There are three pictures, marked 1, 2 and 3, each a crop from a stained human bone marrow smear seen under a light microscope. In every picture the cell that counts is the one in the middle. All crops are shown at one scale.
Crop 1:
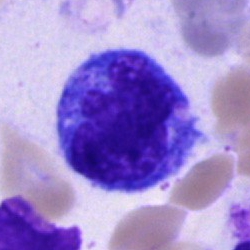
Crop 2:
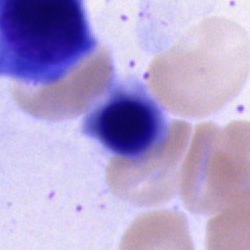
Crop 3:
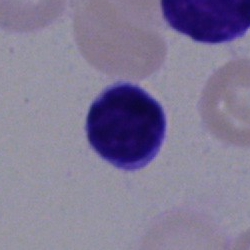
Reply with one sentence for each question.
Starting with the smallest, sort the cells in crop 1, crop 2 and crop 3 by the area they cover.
Going up, they run 2, 3, 1.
